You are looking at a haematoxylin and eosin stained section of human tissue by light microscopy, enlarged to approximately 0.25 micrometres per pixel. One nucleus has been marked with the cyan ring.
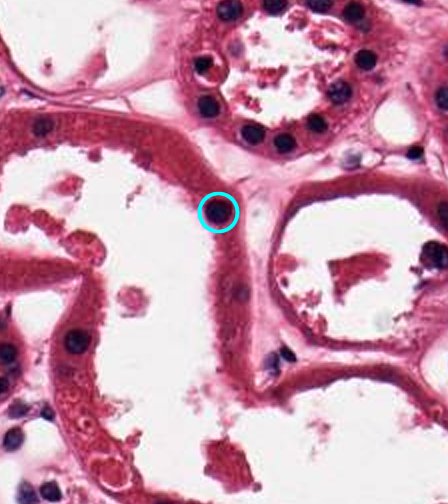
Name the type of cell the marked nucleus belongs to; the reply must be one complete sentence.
The nucleus that has been marked belongs to a proximal tubule cell.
